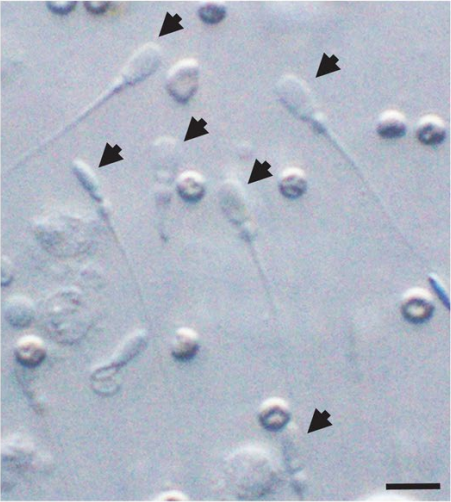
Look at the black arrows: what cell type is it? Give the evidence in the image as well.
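The marked cells have an oval, flattened head.
Answer: sperm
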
